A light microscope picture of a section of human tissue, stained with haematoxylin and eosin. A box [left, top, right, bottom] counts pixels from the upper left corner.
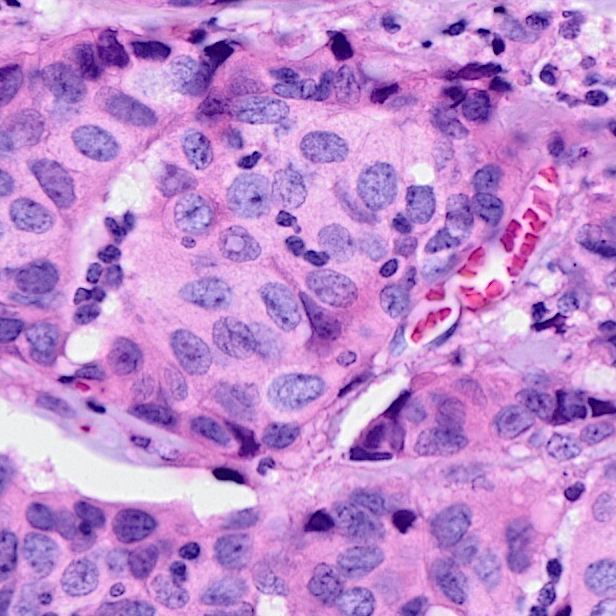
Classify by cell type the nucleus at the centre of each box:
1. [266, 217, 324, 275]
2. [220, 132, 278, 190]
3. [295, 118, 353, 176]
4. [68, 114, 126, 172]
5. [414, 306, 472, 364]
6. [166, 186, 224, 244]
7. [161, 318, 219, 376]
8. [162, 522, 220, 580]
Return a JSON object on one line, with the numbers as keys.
{"1": "lymphocyte", "2": "lymphocyte", "3": "carcinoma cell", "4": "carcinoma cell", "5": "endothelial cell", "6": "carcinoma cell", "7": "carcinoma cell", "8": "lymphocyte"}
